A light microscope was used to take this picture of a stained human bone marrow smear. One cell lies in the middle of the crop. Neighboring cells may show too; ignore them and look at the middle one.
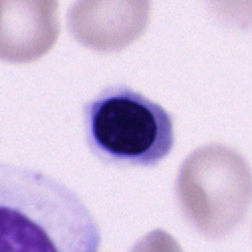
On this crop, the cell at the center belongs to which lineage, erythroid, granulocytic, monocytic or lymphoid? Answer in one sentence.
In this crop the cell in the center is part of the erythroid lineage.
